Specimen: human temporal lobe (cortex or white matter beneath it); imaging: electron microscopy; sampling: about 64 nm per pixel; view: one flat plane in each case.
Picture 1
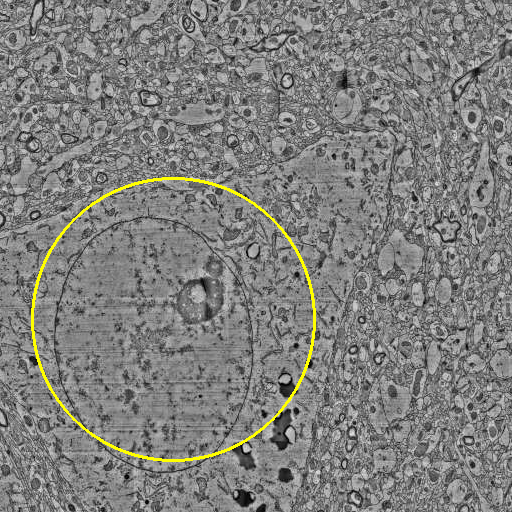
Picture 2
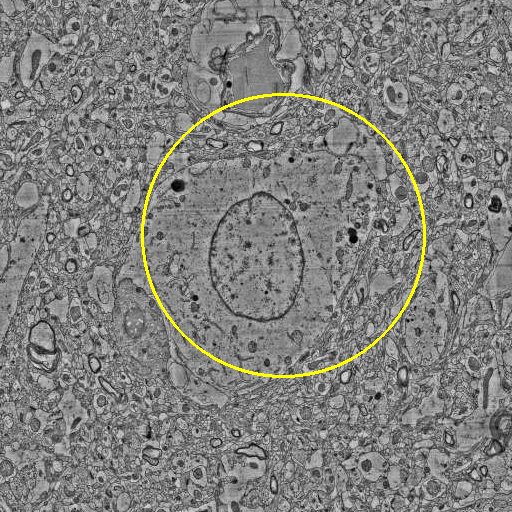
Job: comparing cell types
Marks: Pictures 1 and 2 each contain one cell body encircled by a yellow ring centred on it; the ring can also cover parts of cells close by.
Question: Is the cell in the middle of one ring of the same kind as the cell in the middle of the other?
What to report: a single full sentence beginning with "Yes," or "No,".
Yes, the cell at the ring centre in Picture 1 and its partner in Picture 2 are of one kind.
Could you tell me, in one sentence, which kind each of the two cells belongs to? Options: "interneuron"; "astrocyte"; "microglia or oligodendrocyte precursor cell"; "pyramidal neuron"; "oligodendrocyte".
Each of the two rings is centred on a pyramidal neuron.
